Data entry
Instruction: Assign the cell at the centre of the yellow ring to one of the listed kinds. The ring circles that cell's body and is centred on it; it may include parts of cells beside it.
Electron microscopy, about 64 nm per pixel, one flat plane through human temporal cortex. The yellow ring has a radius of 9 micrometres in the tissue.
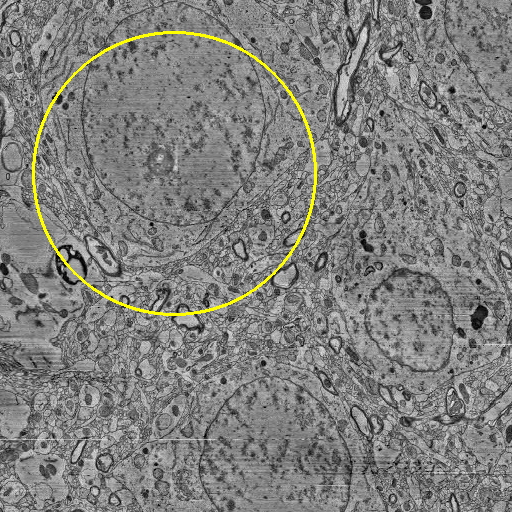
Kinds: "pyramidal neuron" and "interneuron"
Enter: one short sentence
The centre of the ring falls on a pyramidal neuron.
